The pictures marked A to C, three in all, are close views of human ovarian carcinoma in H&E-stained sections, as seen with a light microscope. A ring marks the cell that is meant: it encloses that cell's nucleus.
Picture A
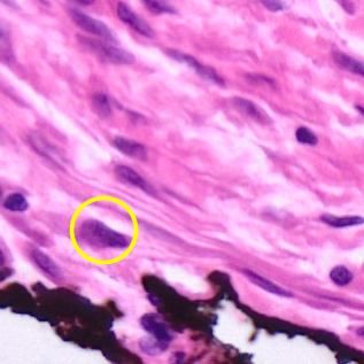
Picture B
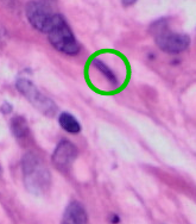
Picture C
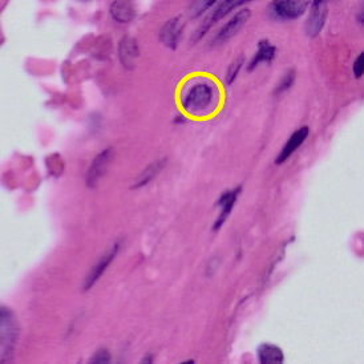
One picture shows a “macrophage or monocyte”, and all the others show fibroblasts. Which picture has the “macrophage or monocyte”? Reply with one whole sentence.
The cell in picture C is the “macrophage or monocyte”.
